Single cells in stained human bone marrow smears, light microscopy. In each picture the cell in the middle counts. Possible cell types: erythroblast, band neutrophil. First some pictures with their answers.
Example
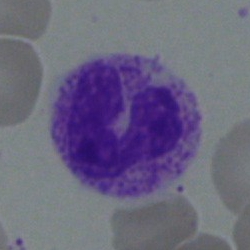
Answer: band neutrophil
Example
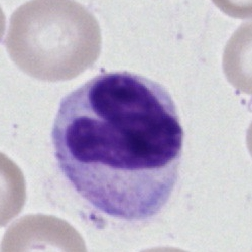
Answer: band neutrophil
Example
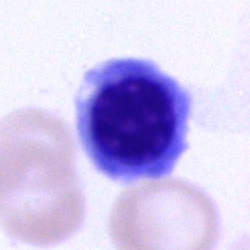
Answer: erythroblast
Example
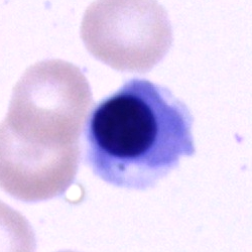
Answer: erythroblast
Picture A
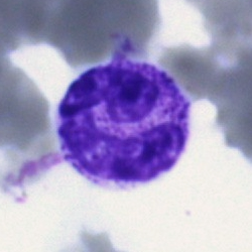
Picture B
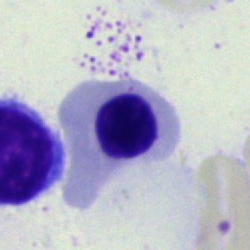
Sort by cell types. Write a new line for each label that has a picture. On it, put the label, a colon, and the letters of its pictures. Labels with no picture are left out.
erythroblast: B
band neutrophil: A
